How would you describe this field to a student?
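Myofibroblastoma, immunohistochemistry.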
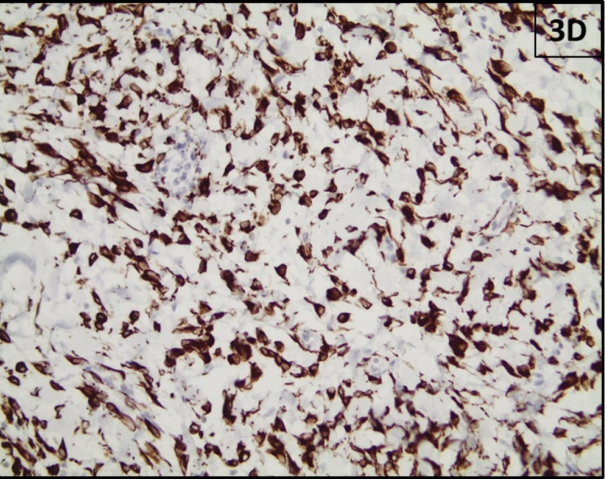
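Here the tumour cells of a spindle cell lesion stand out in brown against a pale background with blue counterstained nuclei. Most of the cells are strongly and evenly brown throughout their cytoplasm, and their shapes are easy to follow: many are spindle shaped with tapering ends, others are plumper or have short, wavy extensions. They lie loosely scattered in a pale, fluffy stroma without forming tight sheets. A small rounded cluster of cells near the left middle stays unstained, showing only blue nuclei, which makes a clear contrast with the brown tumour cells around it.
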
